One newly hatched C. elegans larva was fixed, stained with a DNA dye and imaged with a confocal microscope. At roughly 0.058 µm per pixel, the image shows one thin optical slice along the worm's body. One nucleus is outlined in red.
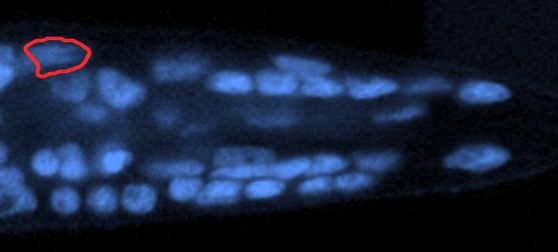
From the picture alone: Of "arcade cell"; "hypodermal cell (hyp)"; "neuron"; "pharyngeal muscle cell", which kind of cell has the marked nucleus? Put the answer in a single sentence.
This is the nucleus of a hypodermal cell (hyp).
